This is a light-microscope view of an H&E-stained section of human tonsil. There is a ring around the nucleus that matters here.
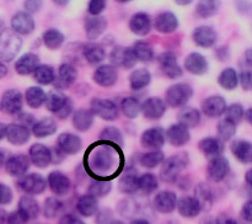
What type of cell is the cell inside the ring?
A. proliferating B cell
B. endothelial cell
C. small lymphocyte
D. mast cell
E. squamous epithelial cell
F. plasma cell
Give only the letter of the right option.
C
